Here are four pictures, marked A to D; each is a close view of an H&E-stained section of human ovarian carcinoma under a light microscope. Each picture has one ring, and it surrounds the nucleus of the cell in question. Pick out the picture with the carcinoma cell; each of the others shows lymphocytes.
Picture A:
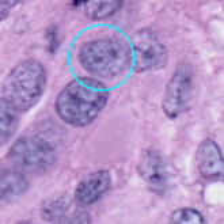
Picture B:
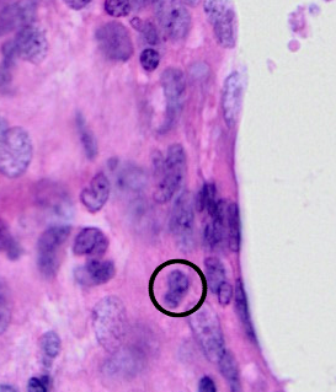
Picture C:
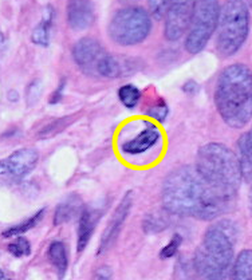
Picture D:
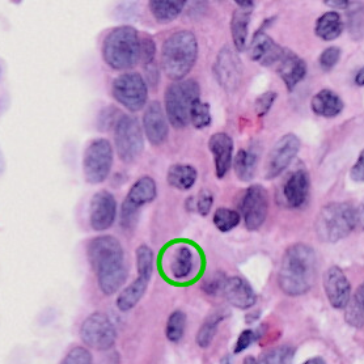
A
